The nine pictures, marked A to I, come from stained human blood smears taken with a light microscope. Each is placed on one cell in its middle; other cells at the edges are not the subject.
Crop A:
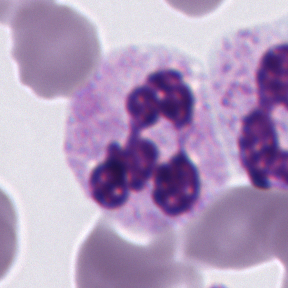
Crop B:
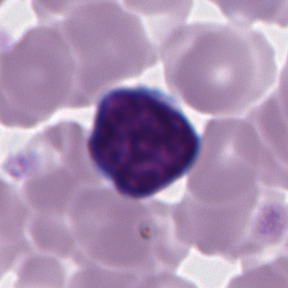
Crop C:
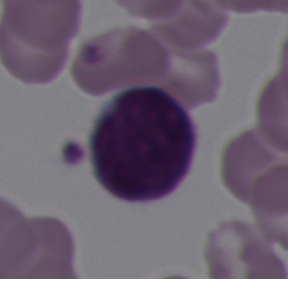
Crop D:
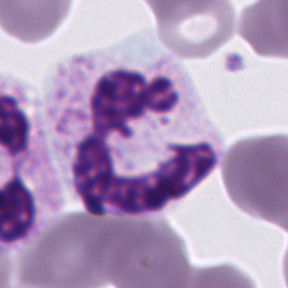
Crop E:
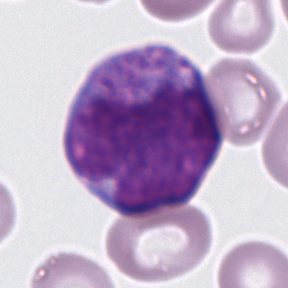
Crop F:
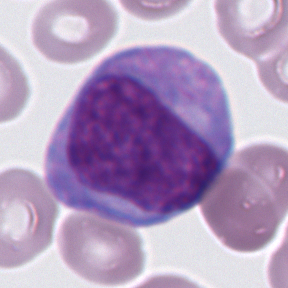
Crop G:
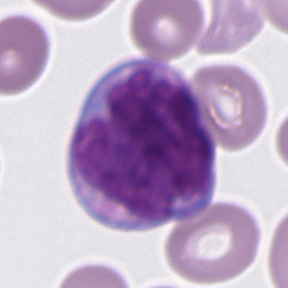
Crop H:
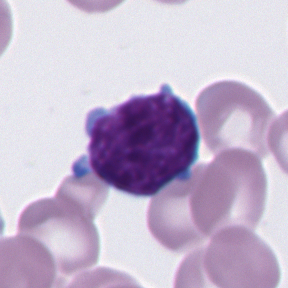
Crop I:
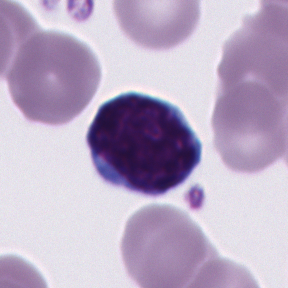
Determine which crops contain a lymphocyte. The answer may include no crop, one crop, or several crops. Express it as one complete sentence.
In this set, crops B, C, H and I show lymphocytes.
